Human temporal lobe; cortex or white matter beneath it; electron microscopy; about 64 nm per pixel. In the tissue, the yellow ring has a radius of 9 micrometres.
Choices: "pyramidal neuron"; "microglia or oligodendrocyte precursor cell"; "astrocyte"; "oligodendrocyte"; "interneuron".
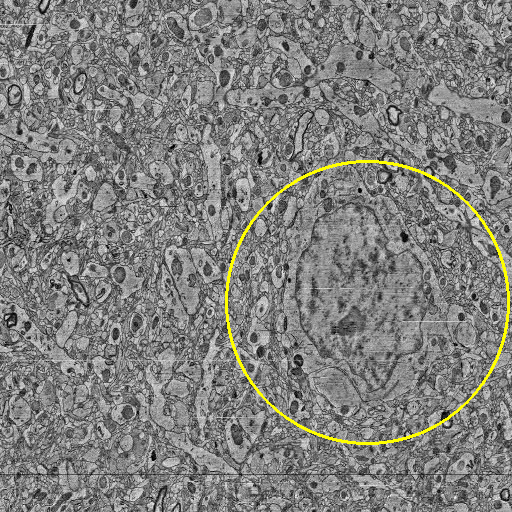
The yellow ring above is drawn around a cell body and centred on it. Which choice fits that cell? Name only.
interneuron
